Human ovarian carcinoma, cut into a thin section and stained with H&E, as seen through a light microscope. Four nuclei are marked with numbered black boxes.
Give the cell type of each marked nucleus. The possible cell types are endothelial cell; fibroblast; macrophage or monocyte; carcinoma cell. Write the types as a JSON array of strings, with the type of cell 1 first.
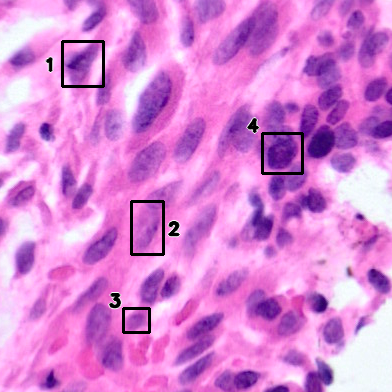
["fibroblast", "fibroblast", "fibroblast", "carcinoma cell"]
